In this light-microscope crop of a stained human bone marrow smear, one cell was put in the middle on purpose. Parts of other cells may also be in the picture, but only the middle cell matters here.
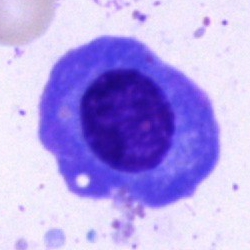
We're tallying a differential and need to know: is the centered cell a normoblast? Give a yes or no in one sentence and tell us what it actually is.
No, the cell in the centre is to be called a plasma cell instead of a normoblast.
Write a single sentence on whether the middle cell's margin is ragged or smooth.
Projections or ragged segments give this cell an irregular rather than smooth border.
